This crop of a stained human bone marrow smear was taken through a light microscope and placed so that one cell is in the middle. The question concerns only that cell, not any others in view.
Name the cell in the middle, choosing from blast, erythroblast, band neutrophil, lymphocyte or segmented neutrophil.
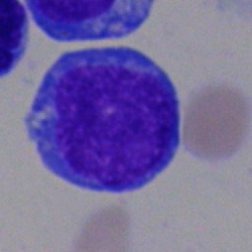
blast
